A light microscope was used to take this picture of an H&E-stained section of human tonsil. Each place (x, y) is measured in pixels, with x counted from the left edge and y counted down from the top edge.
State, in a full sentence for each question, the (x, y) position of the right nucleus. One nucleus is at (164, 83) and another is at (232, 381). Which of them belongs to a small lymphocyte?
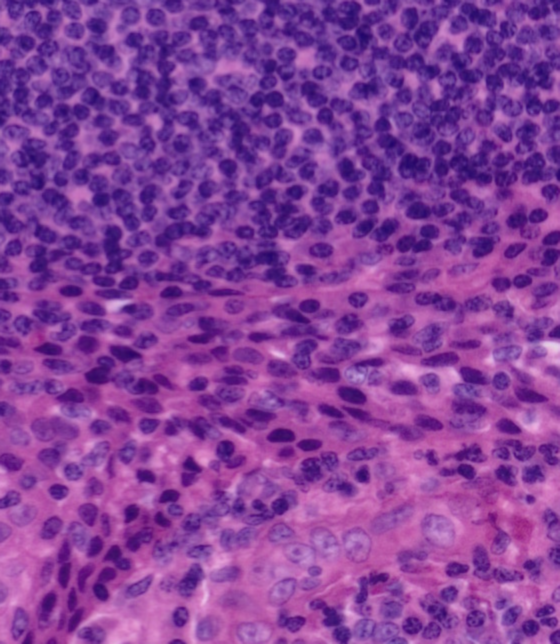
Among the two, the nucleus at (164, 83) is the nucleus of a small lymphocyte.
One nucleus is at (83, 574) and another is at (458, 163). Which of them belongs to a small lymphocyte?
The nucleus of a small lymphocyte lies at (458, 163), not at the other position.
